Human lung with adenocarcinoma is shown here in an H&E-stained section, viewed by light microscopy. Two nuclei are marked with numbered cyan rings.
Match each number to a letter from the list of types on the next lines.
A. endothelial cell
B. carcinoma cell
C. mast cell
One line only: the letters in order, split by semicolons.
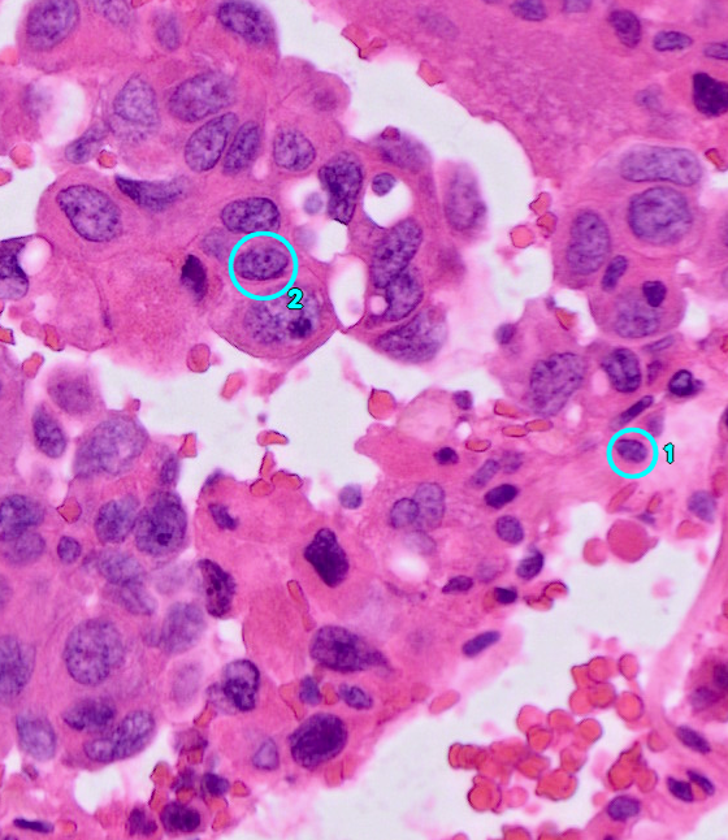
C; B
